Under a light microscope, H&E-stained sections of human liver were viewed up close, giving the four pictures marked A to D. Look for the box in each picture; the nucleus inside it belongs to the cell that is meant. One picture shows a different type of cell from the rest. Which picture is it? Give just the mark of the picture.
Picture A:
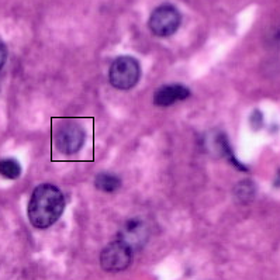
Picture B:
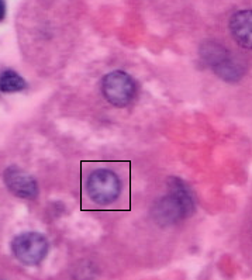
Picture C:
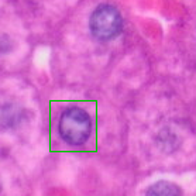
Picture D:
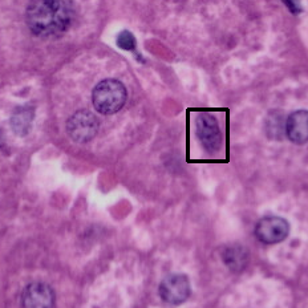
D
